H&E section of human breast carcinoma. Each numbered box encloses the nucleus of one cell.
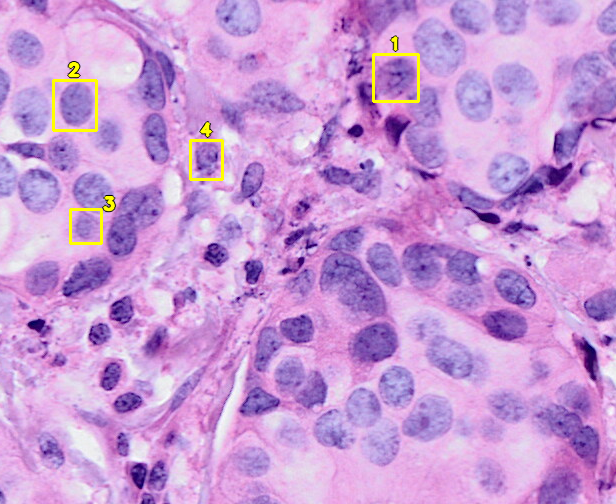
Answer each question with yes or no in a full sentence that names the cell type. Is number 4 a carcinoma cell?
No, at number 4 sits a macrophage, monocyte or dendritic cell, not a carcinoma cell.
